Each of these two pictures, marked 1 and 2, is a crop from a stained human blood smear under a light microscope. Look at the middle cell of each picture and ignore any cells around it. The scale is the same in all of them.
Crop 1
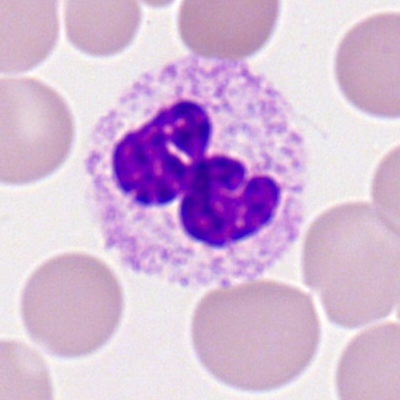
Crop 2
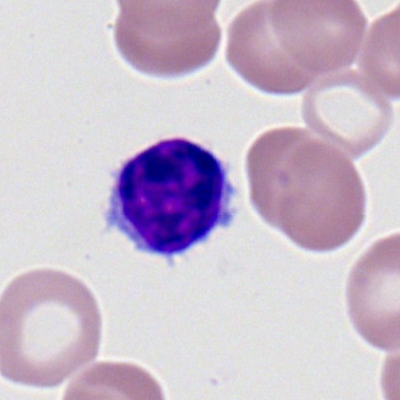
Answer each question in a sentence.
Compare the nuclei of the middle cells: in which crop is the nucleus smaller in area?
Crop 2 shows the smaller nucleus, since that in crop 1 covers about 1.5 times as much area.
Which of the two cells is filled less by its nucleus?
Of the two, the nucleus in crop 1 leaves more room for cytoplasm.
